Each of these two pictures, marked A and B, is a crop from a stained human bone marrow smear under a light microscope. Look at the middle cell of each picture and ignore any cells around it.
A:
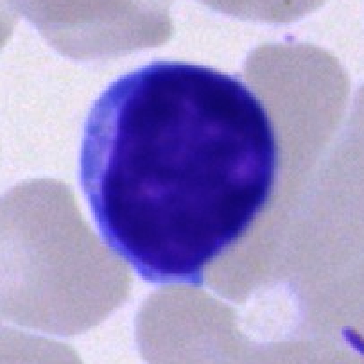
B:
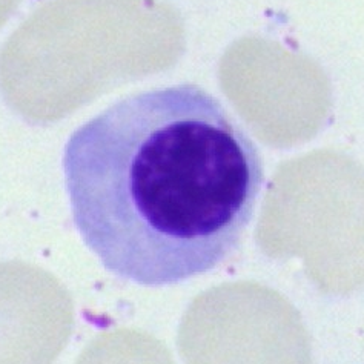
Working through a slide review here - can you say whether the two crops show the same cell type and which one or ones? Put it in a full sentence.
No, it is a lymphocyte that crop A shows, and a normoblast that crop B shows.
